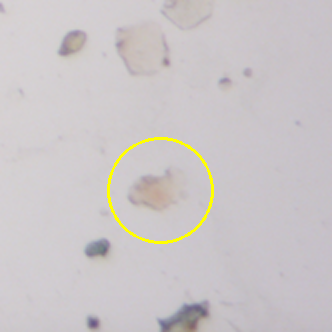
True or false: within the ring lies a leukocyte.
False: a cornified epithelial cell lies within the ring.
